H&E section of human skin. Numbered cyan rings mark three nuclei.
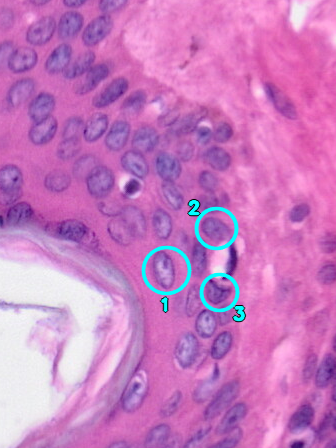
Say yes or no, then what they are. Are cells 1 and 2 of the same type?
No, cell 1 is identified as a suprabasal keratinocyte, and cell 2 is identified as a basal keratinocyte.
